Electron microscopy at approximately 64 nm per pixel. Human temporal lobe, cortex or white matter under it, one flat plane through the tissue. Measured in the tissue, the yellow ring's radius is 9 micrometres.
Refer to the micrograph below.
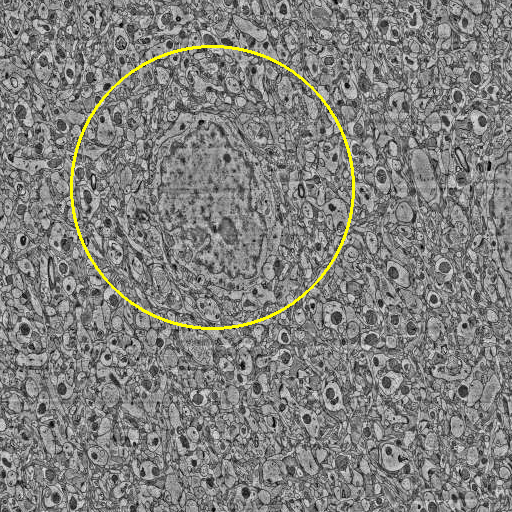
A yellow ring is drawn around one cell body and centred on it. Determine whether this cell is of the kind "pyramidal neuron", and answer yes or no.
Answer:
no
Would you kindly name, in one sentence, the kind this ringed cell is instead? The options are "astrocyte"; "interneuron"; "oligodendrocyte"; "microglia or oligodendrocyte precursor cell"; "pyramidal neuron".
Instead, the cell inside the ring is an interneuron.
